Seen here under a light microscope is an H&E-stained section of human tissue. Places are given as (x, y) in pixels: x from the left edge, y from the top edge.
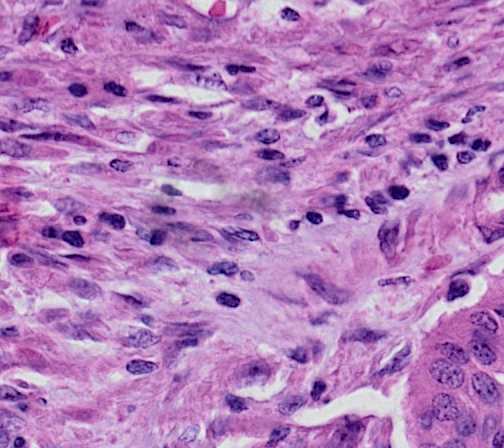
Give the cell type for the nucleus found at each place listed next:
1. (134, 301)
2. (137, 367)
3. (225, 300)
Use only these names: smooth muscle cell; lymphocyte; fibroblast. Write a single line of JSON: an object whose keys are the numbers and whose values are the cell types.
{"1": "fibroblast", "2": "lymphocyte", "3": "lymphocyte"}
